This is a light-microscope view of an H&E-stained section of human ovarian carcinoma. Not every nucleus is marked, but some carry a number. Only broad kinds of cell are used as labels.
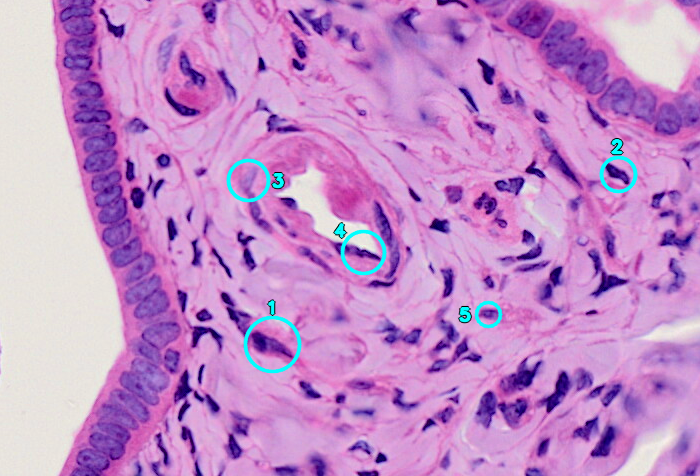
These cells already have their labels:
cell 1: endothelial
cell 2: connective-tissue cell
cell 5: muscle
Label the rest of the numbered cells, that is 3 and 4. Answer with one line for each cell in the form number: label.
3: muscle
4: endothelial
